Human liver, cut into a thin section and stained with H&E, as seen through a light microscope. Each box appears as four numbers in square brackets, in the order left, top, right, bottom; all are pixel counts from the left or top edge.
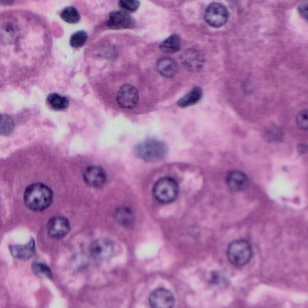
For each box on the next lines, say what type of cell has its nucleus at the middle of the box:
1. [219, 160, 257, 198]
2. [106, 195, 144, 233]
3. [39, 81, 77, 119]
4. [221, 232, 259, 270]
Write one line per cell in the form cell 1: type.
cell 1: hepatocyte
cell 2: hepatocyte
cell 3: lymphocyte
cell 4: hepatocyte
